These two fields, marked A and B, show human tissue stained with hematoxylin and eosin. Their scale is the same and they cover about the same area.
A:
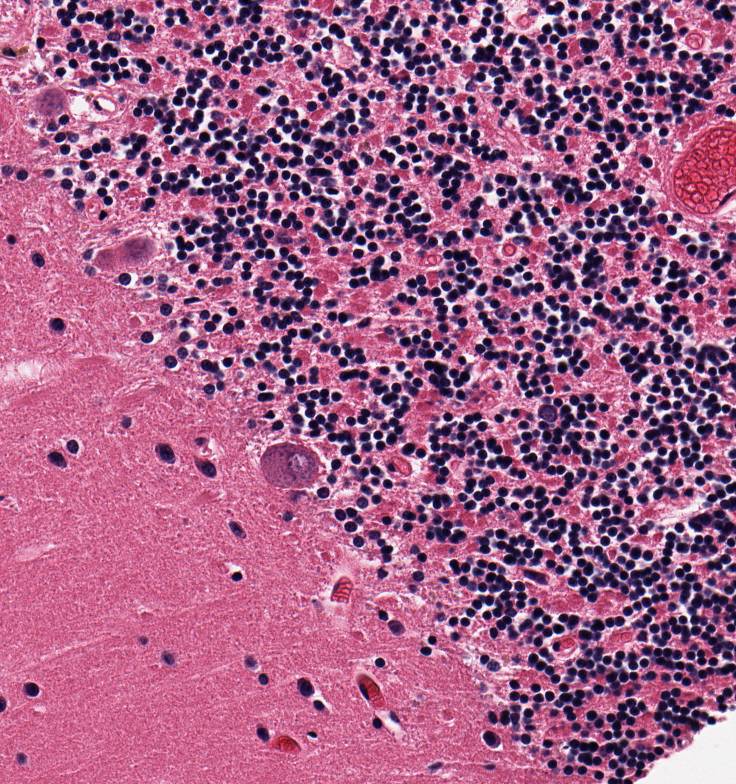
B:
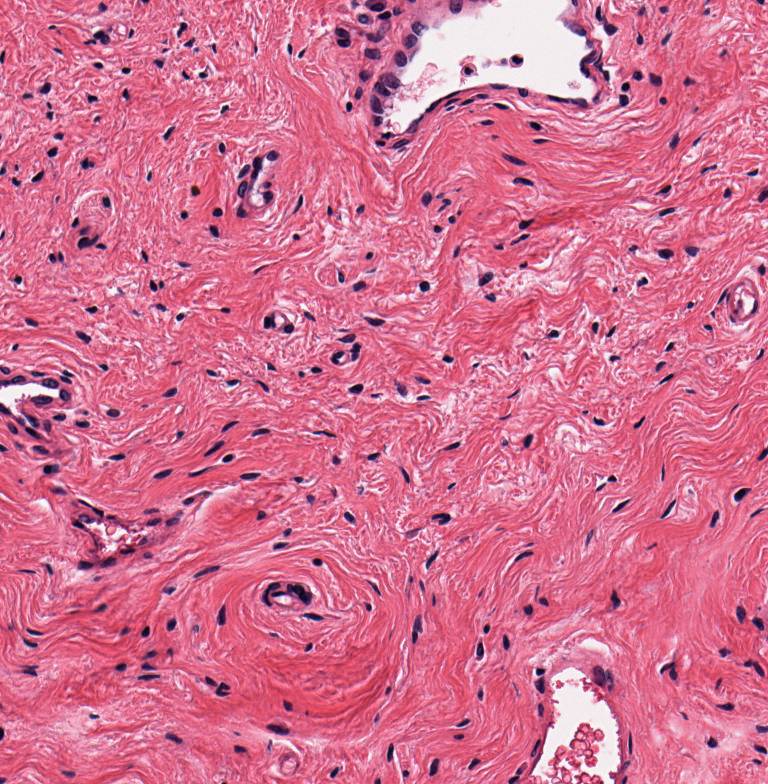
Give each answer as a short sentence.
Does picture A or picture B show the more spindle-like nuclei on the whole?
The nuclei are more elongated in picture B.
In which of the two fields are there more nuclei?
It is picture A that has more nuclei in it.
